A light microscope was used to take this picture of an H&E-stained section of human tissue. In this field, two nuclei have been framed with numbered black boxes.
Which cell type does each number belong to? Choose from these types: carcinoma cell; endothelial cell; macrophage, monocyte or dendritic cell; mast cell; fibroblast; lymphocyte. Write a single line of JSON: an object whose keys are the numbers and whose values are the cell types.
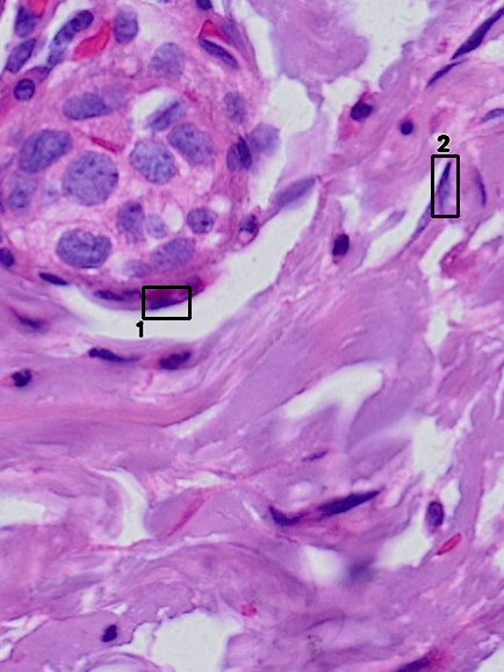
{"1": "endothelial cell", "2": "fibroblast"}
